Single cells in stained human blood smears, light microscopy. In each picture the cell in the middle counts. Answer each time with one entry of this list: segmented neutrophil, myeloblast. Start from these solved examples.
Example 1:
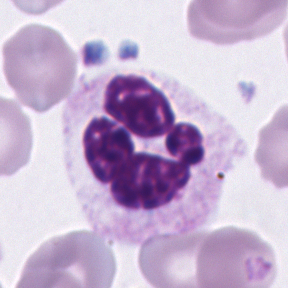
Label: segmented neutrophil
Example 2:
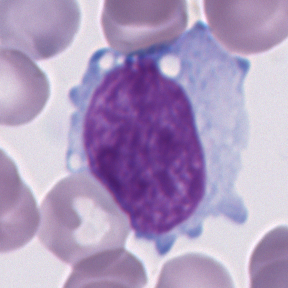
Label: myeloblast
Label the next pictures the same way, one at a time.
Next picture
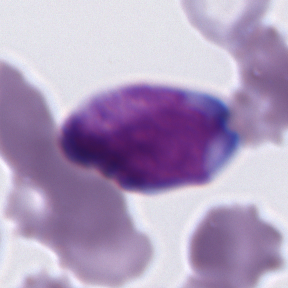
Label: myeloblast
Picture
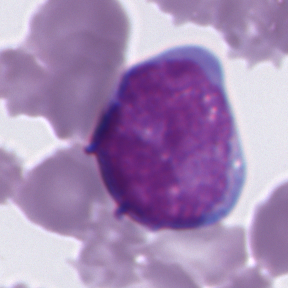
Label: myeloblast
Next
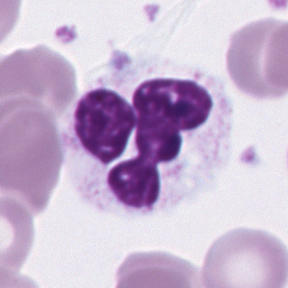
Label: segmented neutrophil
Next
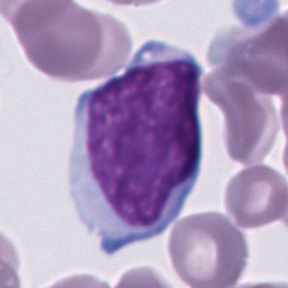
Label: myeloblast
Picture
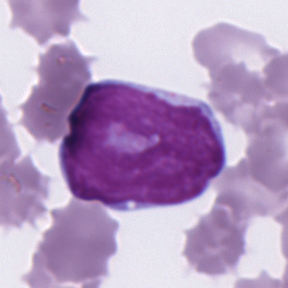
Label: myeloblast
